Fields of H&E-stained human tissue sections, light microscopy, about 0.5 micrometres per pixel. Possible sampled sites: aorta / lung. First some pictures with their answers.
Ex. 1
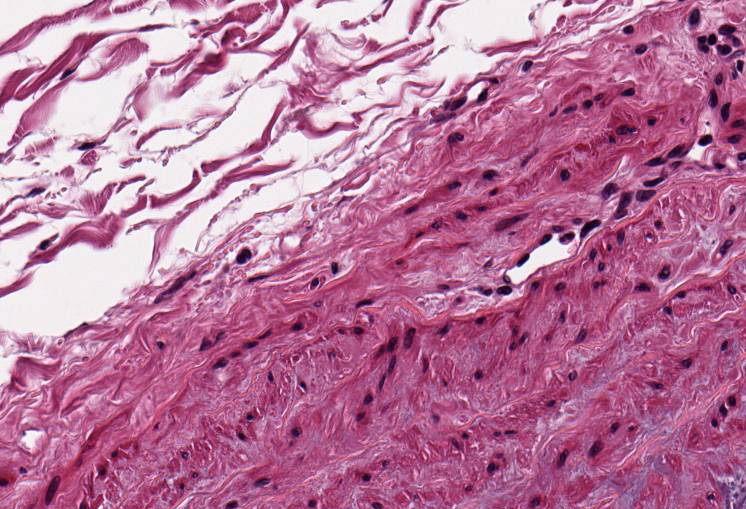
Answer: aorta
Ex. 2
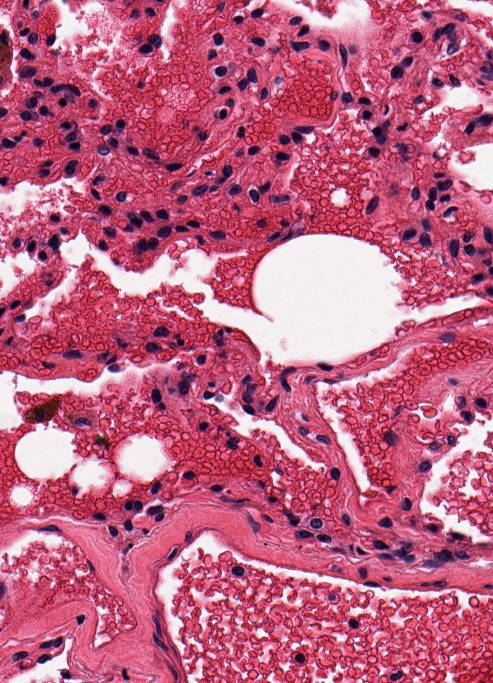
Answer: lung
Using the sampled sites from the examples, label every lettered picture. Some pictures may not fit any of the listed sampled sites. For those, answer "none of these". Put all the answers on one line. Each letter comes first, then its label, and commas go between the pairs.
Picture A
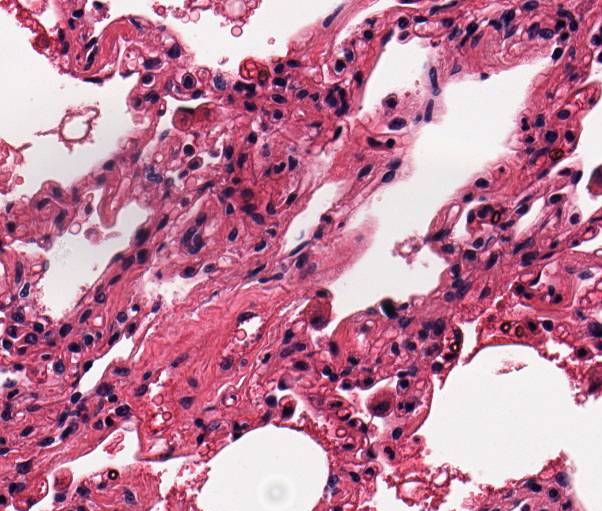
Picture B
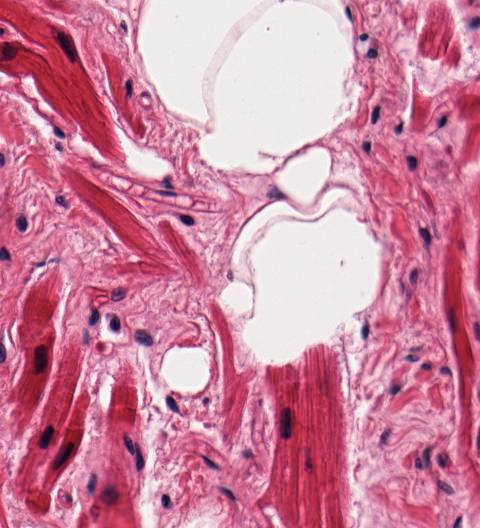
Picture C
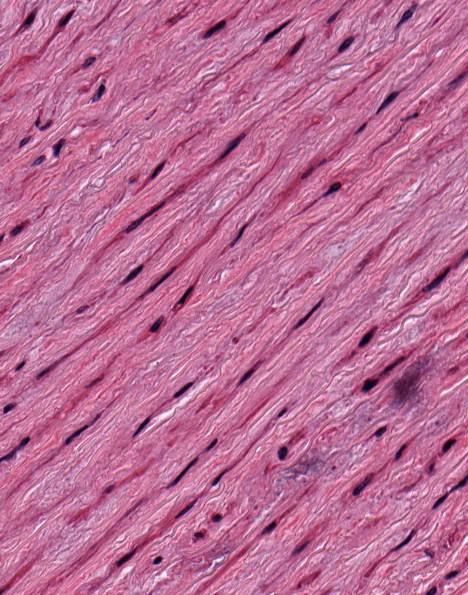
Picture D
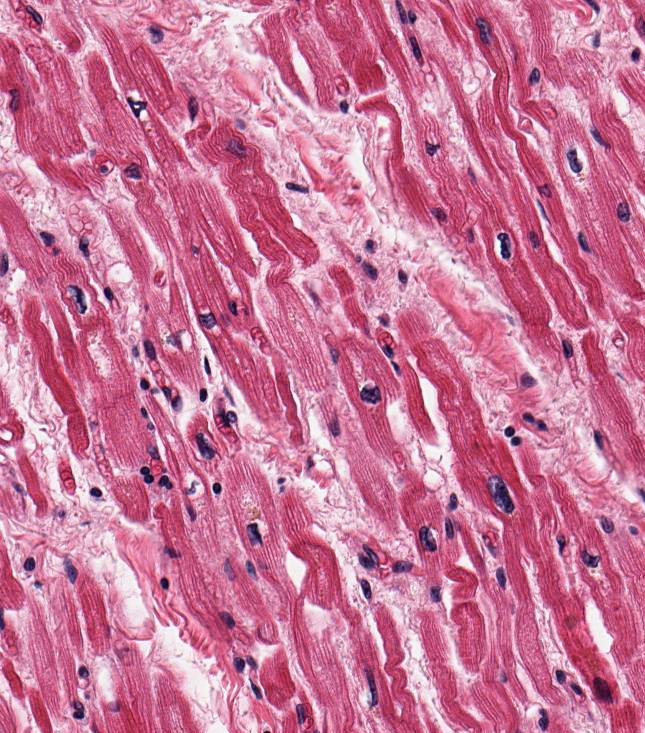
A lung, B none of these, C aorta, D none of these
